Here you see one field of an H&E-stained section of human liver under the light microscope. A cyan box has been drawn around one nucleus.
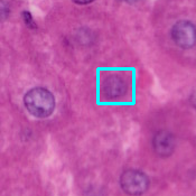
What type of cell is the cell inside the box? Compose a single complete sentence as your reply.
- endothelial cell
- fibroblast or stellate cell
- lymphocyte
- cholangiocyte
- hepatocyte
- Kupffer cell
Just put down that the cell inside the box is a hepatocyte.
